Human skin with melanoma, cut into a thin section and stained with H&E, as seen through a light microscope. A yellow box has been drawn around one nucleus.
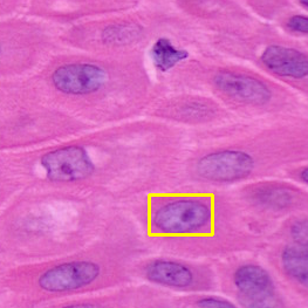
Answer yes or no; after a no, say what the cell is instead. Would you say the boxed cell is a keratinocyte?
Yes.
